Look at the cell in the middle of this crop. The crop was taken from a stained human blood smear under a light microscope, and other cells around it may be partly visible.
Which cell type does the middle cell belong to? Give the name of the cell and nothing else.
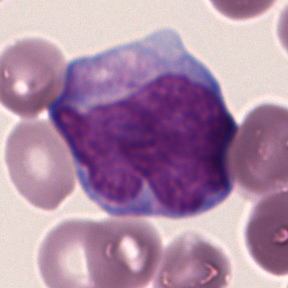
atypical promyelocyte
